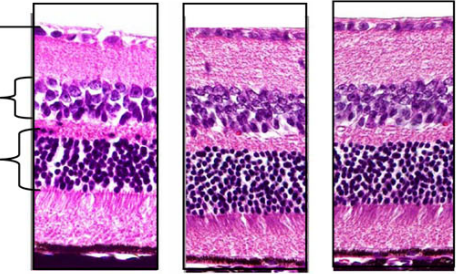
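These are cross-sections of the neural retina, stained pink and purple, with the retinal layers running horizontally across each strip. A thin pink plexiform band separates this from the outer nuclear layer, a thick band of small, densely packed, dark purple round nuclei several cells deep. Beneath the outer nuclear layer is a pink, finely striated band, with a dark pigmented line at the very bottom.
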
